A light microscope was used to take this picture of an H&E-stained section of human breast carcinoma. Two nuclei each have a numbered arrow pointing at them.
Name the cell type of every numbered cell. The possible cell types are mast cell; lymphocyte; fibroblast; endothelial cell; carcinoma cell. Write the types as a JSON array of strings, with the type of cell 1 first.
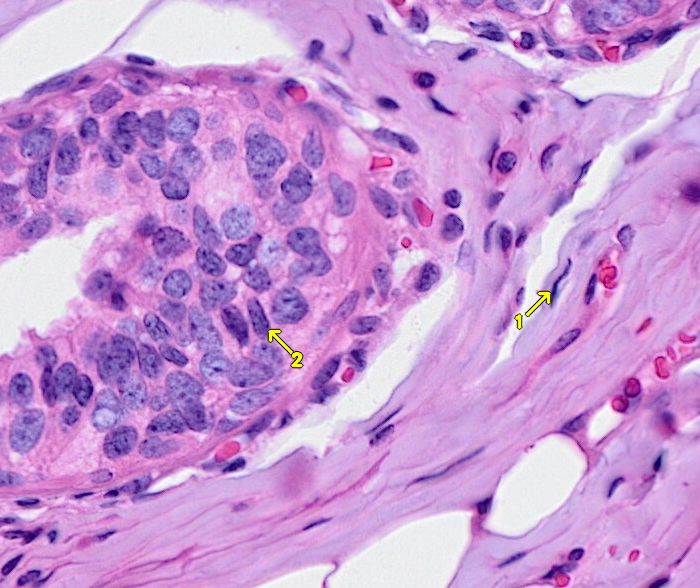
["fibroblast", "carcinoma cell"]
